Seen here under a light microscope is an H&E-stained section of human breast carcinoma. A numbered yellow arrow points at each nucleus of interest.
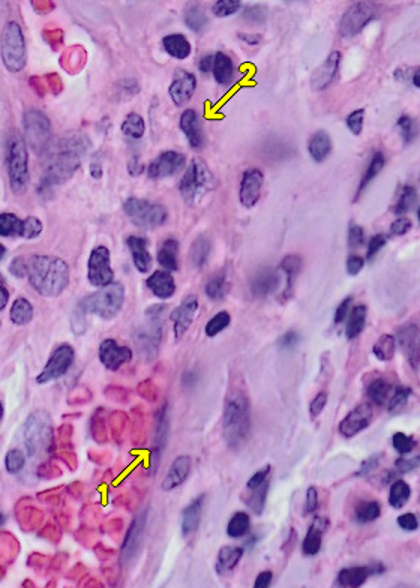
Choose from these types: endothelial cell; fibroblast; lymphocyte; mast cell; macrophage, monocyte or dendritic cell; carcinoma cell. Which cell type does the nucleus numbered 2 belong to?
lymphocyte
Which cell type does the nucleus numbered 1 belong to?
endothelial cell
